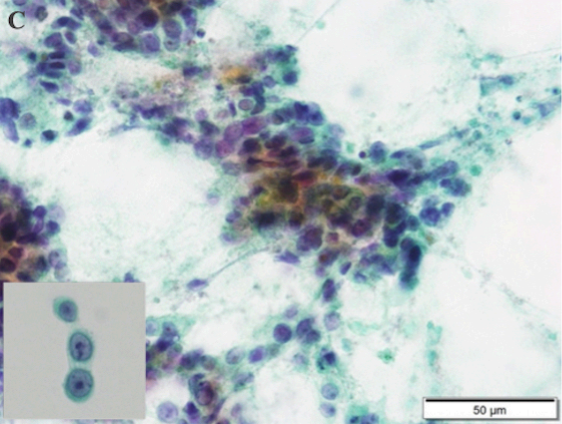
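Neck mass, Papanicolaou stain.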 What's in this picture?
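The cells have dark purple-blue nuclei of varying size. Many overlap in three-dimensional groups, and some of the cytoplasm is tinted orange. At the edges of the clusters, single cells have round nuclei and a thin rim of cytoplasm.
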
